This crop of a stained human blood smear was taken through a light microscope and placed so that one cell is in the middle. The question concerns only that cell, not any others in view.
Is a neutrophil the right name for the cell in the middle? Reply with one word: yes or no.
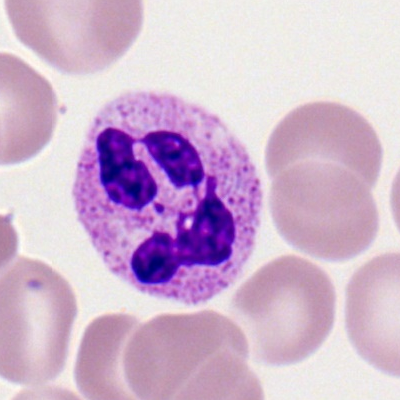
yes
